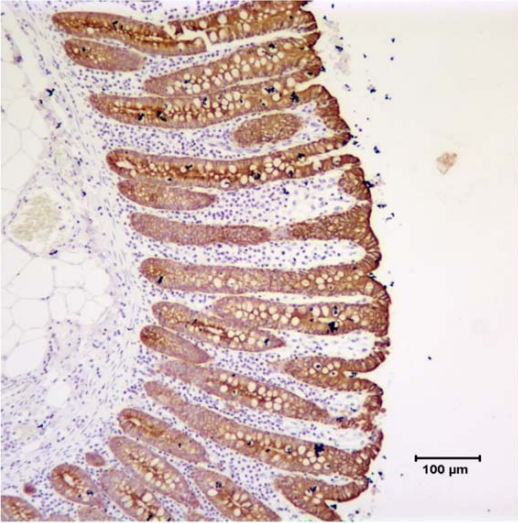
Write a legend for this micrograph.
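Elongated epithelial-lined structures run in parallel from the deeper tissue at the left towards the surface at the right. Each is lined by a single layer of tall, tightly packed columnar cells with brown cytoplasm, interrupted by many rounded pale vacuoles of mucus-filled goblet cells. Between these structures lies loose connective tissue crowded with small cells whose round blue nuclei carry no brown stain. At the far left, pale polygonal fat cells and a vessel lie in the deeper wall.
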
